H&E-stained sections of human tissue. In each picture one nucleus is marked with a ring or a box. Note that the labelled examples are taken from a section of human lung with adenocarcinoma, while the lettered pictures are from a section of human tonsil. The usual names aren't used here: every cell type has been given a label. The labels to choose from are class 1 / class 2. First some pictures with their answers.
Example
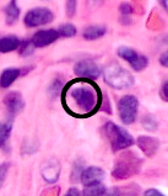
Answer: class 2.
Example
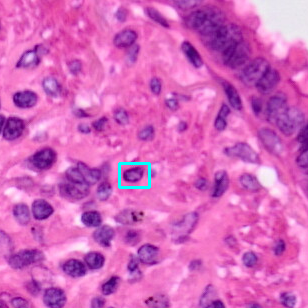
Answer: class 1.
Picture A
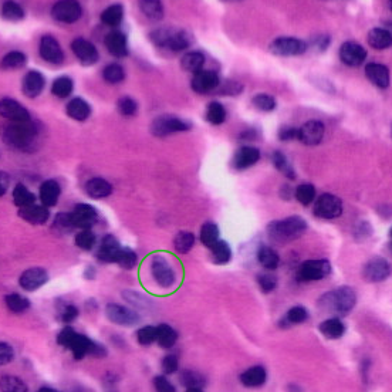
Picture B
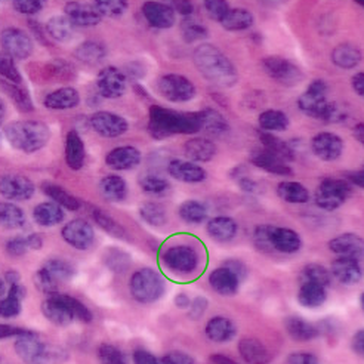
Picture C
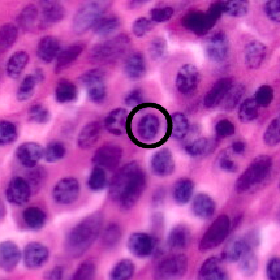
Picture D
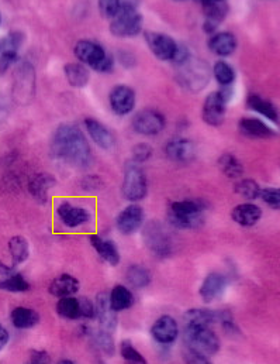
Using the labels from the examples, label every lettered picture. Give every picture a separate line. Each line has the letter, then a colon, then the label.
A: class 1.
B: class 2.
C: class 2.
D: class 1.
